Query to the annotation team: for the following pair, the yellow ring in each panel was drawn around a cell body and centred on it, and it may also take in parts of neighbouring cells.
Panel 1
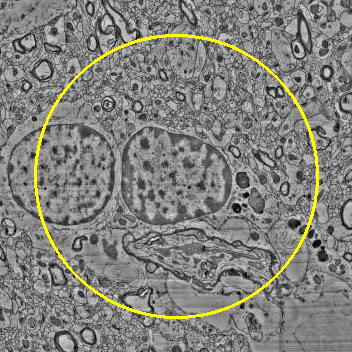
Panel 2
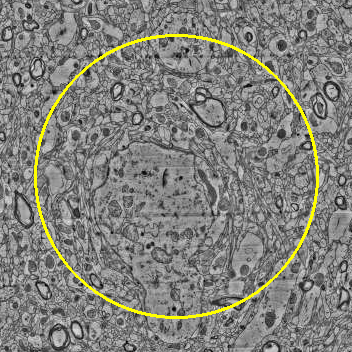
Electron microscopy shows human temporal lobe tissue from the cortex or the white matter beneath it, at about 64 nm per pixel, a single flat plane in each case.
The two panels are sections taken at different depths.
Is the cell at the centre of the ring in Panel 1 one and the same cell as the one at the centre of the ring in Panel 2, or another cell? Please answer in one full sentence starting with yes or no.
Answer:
Yes, the same cell turns up inside each of the two rings.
